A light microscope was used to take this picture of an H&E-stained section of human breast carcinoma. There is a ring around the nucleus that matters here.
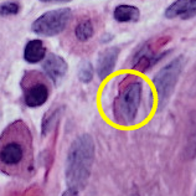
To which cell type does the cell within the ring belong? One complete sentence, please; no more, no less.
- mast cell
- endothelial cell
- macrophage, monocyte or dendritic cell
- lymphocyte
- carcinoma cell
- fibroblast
Right, so the cell within the ring is an endothelial cell, to answer that.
